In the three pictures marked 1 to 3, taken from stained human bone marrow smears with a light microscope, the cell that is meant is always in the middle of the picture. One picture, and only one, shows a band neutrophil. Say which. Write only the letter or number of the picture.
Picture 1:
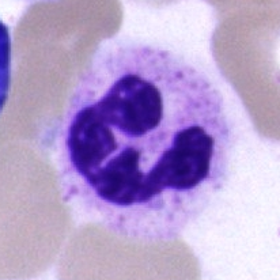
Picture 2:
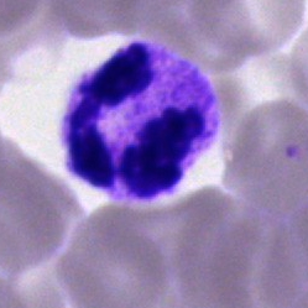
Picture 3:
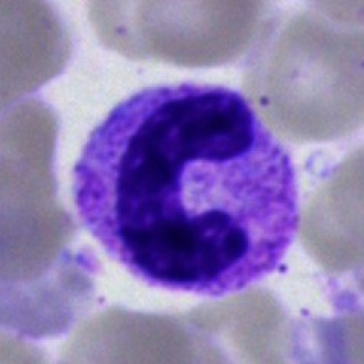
3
